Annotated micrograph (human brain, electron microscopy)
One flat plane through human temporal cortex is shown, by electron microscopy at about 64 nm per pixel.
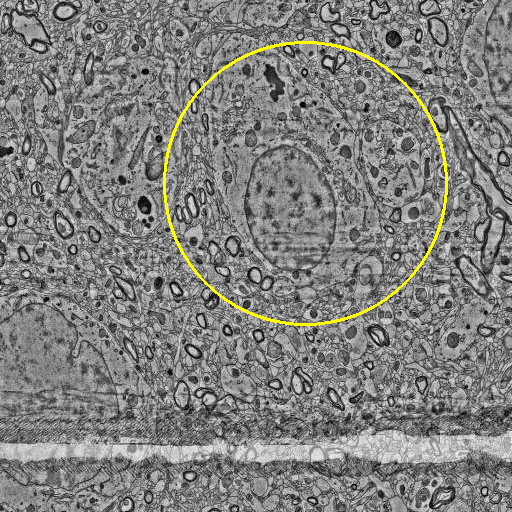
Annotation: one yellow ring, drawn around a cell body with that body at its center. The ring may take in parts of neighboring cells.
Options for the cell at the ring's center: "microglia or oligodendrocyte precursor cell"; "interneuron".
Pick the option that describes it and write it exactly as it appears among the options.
interneuron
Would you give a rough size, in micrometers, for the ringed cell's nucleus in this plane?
The nucleus measures about 8 by 6 micrometres in this plane.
